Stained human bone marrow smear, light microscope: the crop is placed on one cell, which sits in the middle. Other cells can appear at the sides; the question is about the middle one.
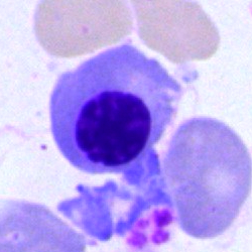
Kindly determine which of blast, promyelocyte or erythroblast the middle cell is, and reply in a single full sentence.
Here the cell in the middle is an erythroblast.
